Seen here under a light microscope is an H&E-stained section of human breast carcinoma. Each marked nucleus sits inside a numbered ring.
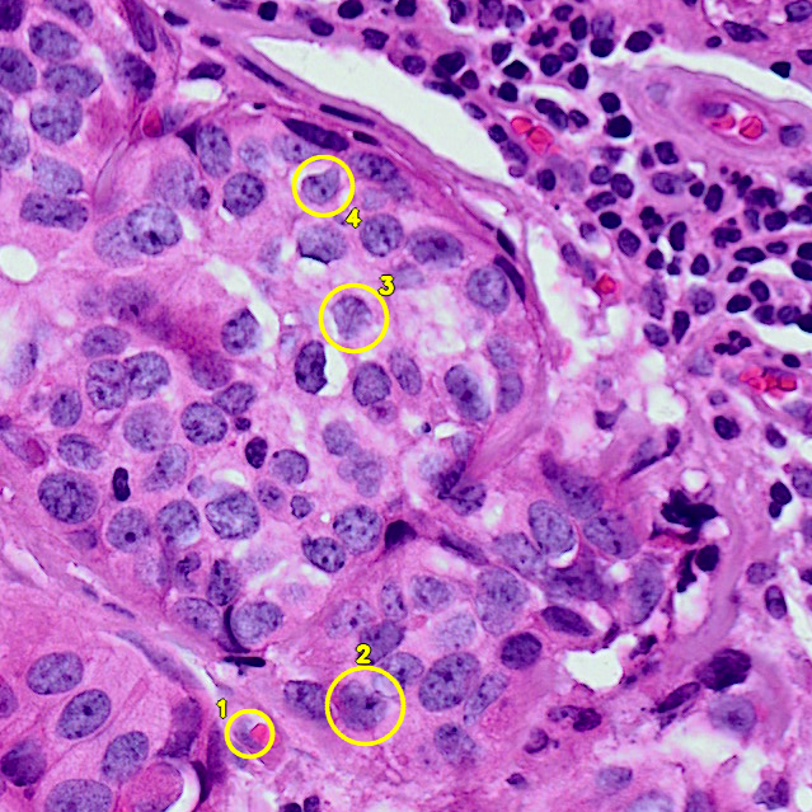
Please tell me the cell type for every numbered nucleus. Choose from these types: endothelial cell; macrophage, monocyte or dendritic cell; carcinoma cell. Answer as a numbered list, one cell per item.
1. endothelial cell
2. carcinoma cell
3. carcinoma cell
4. carcinoma cell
